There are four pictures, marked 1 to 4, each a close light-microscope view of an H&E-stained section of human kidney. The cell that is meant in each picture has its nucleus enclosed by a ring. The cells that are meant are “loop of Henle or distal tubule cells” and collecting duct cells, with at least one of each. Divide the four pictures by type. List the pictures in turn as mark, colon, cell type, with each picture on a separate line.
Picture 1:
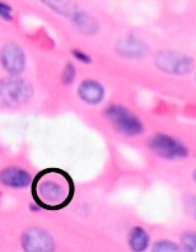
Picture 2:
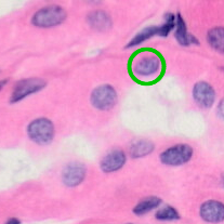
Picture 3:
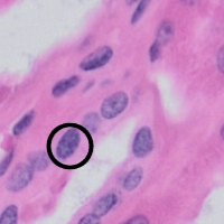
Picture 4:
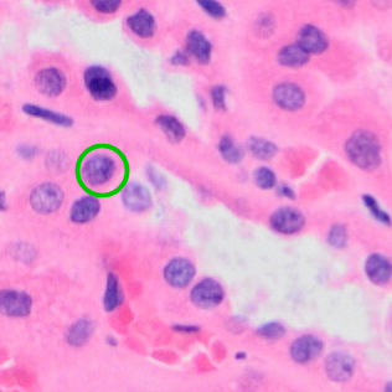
1: collecting duct cell
2: loop of Henle or distal tubule cell
3: collecting duct cell
4: loop of Henle or distal tubule cell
